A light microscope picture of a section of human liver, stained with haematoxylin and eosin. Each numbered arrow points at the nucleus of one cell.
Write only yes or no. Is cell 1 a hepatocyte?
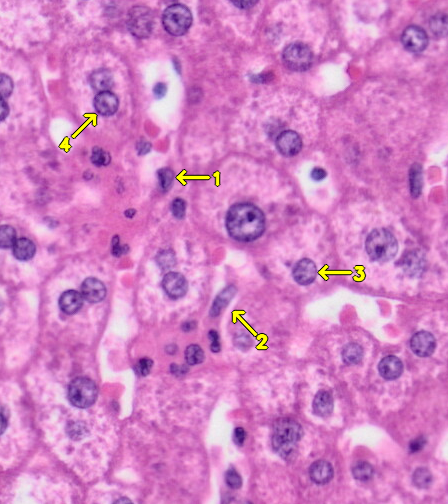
no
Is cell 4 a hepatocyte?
yes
